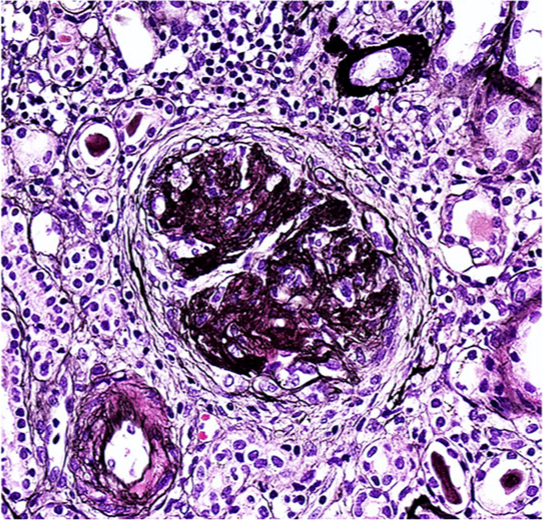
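This is kidney cortex with a sclerotic glomerulus in the centre, its tuft collapsed into dense black-stained matrix with few open capillaries. Layers of fibrous tissue wrap around it concentrically. The surrounding interstitium is widened and holds many small round inflammatory cells between atrophic tubules, some with pink casts. Arteries with thickened walls appear at the top and lower left.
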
